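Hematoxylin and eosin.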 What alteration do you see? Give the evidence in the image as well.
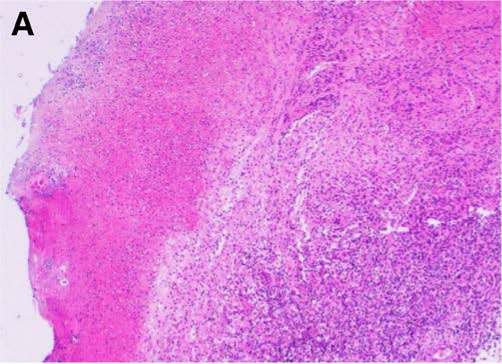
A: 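Sheets of small dark-nucleated cells fill much of the tissue on the right. A pink, cell-poor surface zone lies on the left edge.
Conclusion: Dense inflammatory cell infiltrates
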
